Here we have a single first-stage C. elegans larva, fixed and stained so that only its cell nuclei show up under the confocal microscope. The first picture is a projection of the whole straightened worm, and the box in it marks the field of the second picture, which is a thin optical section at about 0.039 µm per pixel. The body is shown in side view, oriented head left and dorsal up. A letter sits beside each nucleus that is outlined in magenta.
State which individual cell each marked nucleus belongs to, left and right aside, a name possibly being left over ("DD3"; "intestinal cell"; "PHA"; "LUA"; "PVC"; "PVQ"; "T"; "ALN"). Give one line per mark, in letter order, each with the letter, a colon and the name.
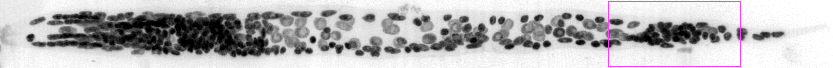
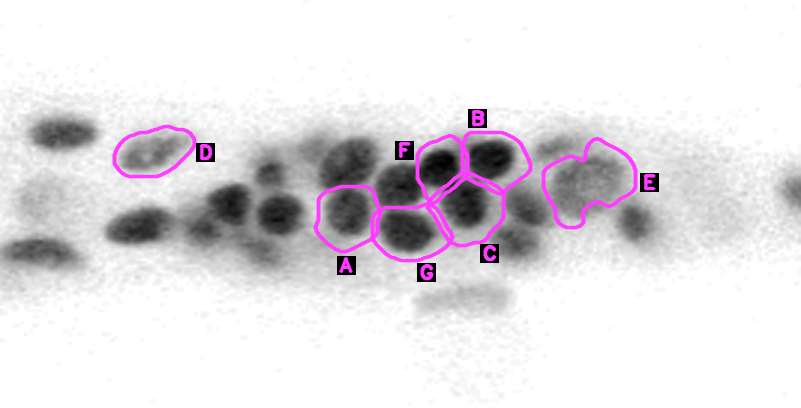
A: PVQ
B: ALN
C: PVC
D: intestinal cell
E: T
F: LUA
G: PHA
